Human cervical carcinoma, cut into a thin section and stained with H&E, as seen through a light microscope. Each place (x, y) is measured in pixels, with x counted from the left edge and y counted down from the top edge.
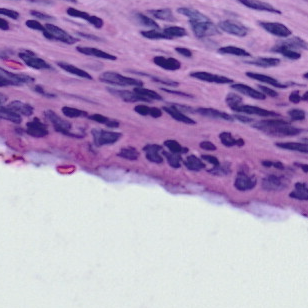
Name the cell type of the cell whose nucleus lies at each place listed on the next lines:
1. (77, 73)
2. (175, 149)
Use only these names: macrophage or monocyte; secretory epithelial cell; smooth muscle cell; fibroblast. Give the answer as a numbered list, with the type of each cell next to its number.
1. fibroblast
2. secretory epithelial cell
